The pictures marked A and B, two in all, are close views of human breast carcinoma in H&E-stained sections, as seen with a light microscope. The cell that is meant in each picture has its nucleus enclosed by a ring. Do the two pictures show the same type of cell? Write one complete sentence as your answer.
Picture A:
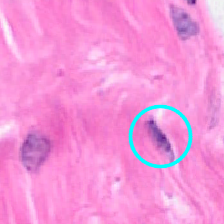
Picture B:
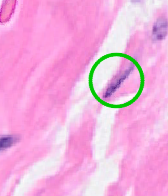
Yes, both cells are fibroblasts.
